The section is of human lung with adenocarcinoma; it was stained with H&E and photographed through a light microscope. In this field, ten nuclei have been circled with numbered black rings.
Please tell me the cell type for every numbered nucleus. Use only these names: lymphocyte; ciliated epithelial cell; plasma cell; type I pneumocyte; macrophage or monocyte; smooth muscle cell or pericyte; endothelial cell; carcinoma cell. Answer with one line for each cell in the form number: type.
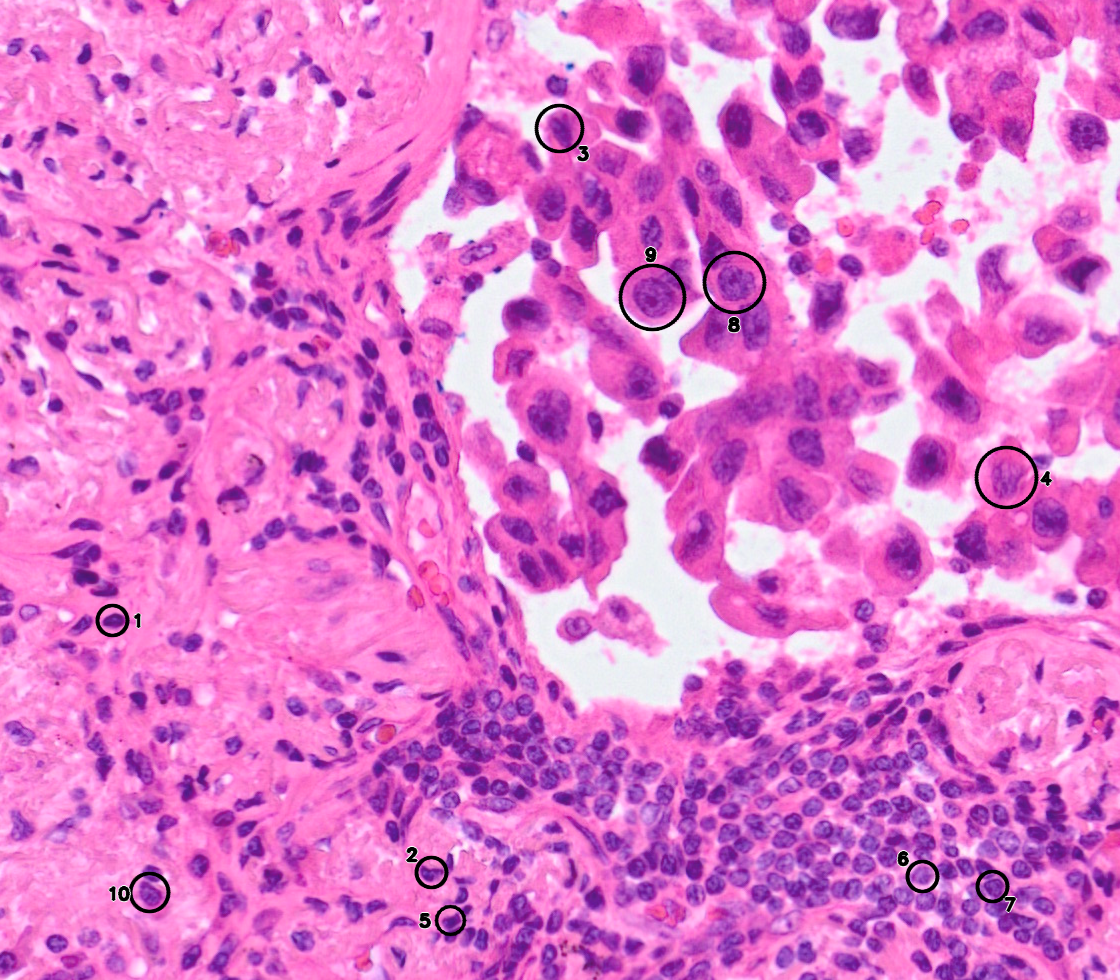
1: plasma cell
2: lymphocyte
3: carcinoma cell
4: carcinoma cell
5: lymphocyte
6: lymphocyte
7: lymphocyte
8: carcinoma cell
9: carcinoma cell
10: plasma cell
